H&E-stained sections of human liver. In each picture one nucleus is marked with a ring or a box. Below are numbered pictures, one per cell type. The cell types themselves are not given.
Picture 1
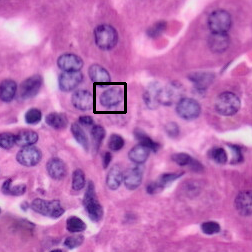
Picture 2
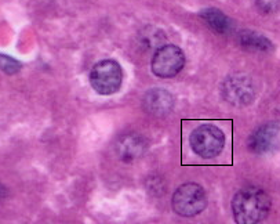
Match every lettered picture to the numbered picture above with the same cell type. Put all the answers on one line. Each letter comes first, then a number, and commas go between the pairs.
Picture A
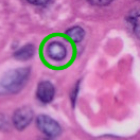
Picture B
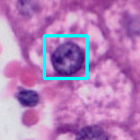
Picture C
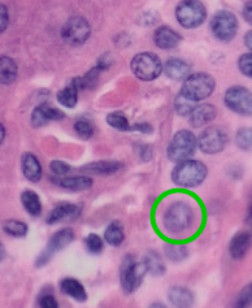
A 1, B 2, C 1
